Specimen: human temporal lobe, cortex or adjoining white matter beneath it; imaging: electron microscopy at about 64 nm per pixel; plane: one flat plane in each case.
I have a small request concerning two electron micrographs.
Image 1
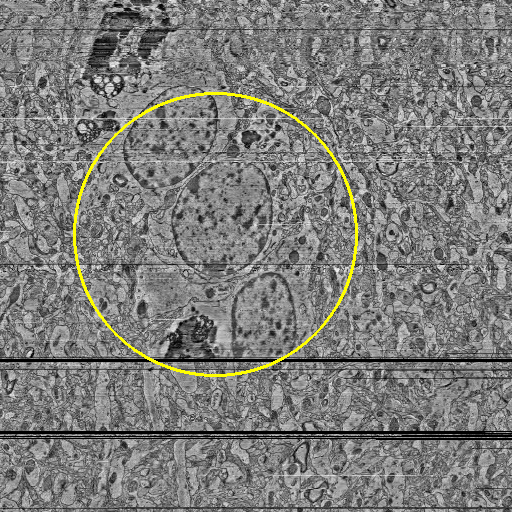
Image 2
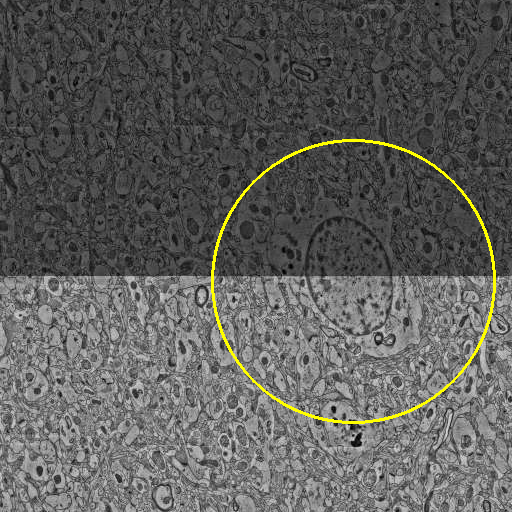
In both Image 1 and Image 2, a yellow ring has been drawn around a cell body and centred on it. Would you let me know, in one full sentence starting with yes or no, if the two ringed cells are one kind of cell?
Yes, the cells ringed in Image 1 and Image 2 are one kind of cell.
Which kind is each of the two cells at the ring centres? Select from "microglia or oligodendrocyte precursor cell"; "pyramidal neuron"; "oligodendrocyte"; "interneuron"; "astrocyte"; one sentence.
In each picture the ringed cell is an astrocyte.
